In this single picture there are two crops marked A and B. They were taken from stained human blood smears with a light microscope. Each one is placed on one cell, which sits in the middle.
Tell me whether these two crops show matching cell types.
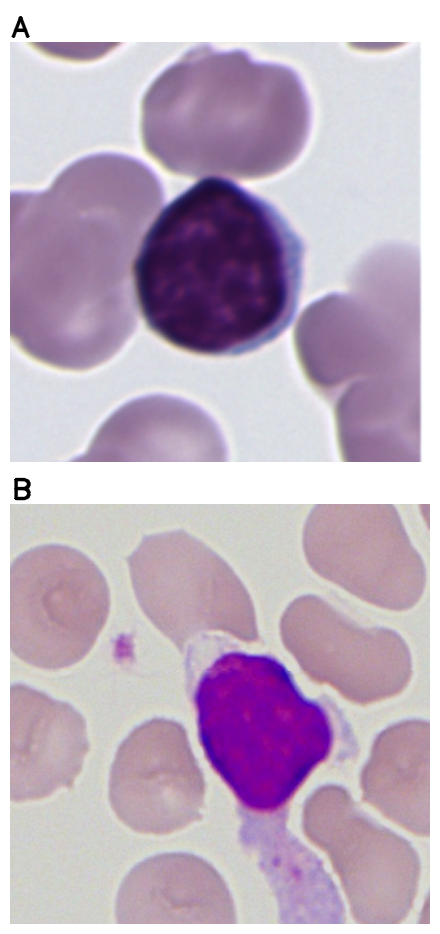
yes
